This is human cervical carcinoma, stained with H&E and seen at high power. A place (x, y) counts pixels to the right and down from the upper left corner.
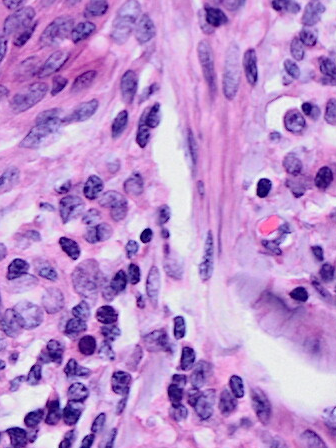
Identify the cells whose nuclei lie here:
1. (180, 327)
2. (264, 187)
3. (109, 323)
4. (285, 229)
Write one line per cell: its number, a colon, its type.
1: lymphocyte
2: lymphocyte
3: lymphocyte
4: endothelial cell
